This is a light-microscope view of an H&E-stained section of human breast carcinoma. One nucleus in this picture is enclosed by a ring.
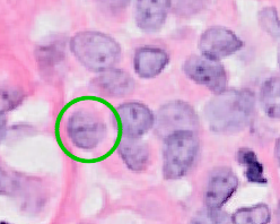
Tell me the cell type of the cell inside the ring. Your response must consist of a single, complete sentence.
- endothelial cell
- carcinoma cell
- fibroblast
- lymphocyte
As to its cell type, the cell inside the ring is a carcinoma cell.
